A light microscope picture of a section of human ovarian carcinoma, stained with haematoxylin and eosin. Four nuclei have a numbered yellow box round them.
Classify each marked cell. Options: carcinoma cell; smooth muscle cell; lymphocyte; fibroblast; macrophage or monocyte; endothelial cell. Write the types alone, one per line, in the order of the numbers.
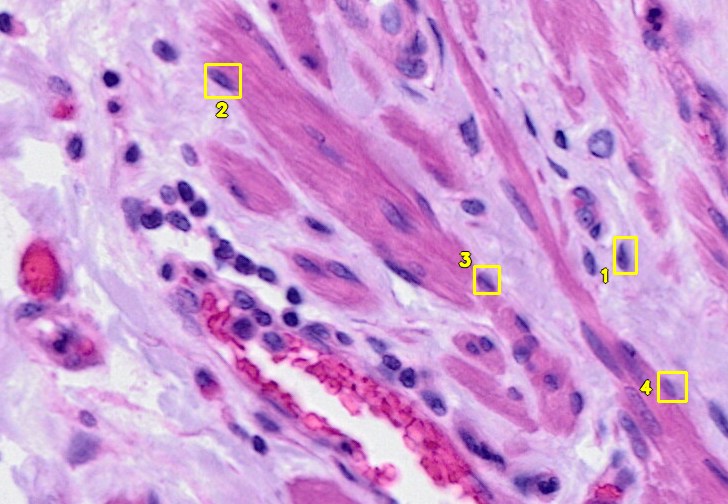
fibroblast
smooth muscle cell
smooth muscle cell
smooth muscle cell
